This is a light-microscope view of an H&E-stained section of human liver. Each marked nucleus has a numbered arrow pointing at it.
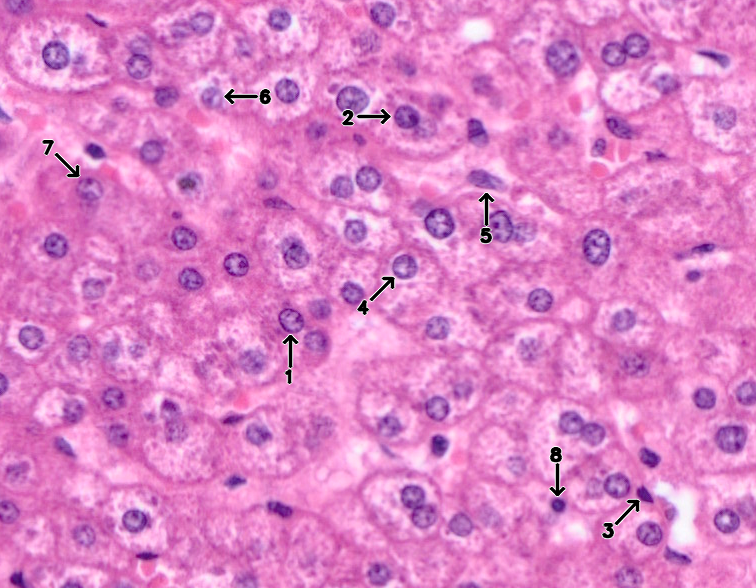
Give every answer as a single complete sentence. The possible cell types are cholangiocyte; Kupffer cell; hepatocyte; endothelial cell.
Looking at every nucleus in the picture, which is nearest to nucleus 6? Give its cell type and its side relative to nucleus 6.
Just to the left of nucleus 6 lies the nearest nucleus, which belongs to an endothelial cell.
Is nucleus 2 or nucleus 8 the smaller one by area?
The smaller nucleus is 8, and 2 covers roughly 2.5 times its area.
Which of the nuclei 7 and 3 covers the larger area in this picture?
Of the two, number 7 is bigger and takes up about 2.5 times the area of number 3.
